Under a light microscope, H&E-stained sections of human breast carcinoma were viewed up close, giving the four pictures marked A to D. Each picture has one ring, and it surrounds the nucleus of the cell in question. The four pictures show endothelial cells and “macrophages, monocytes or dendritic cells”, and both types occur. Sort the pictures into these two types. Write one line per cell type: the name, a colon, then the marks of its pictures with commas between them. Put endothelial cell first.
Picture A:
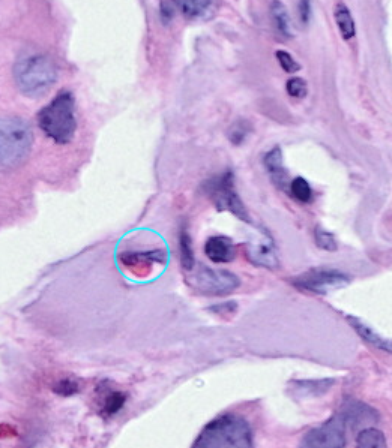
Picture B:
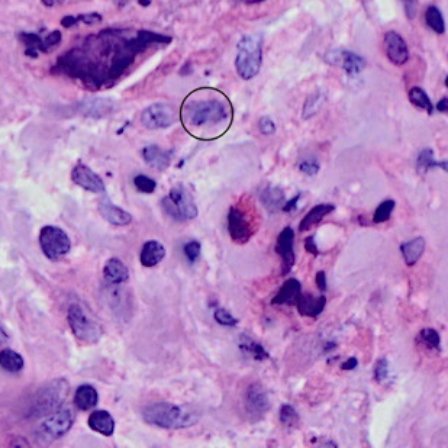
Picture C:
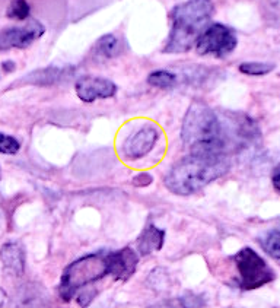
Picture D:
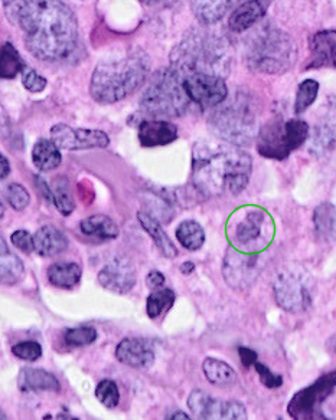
endothelial cell: A
macrophage, monocyte or dendritic cell: B, C, D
